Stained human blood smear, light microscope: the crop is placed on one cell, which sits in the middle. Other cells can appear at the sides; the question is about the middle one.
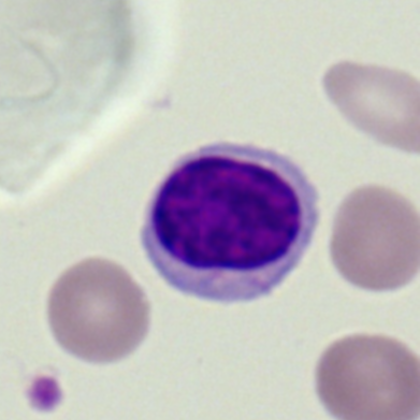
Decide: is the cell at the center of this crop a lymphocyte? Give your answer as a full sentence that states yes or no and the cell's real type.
Yes, the cell in the central position is a lymphocyte.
